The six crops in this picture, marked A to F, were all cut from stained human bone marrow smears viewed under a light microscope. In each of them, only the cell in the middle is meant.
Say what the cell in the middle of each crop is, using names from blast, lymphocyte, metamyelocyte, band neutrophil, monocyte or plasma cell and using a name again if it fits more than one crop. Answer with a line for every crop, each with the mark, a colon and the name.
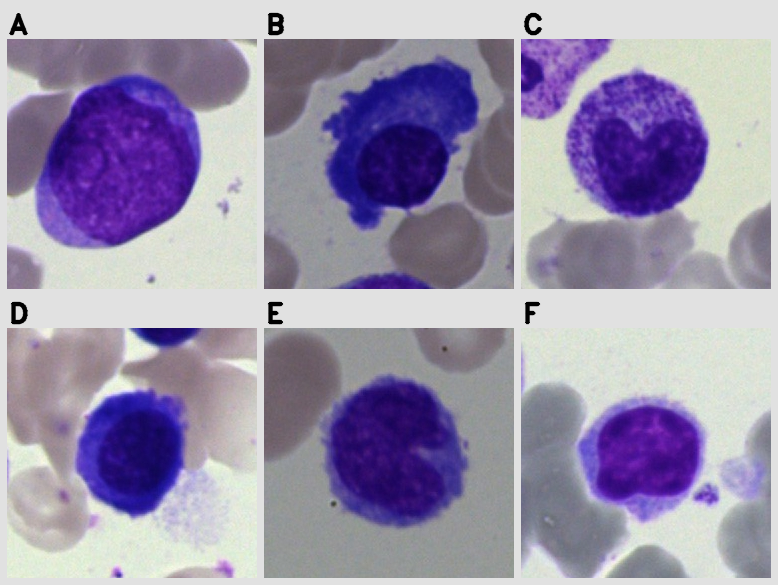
A: blast
B: plasma cell
C: metamyelocyte
D: plasma cell
E: monocyte
F: lymphocyte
